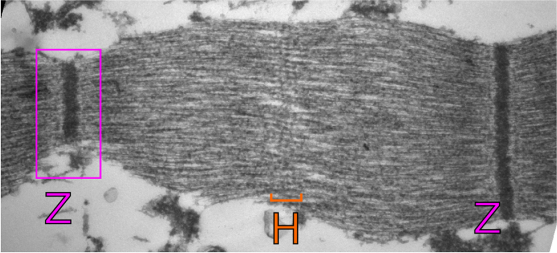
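Longitudinal section through one sarcomere of a myofibril. Fine filaments run lengthwise between two dark, dense transverse bands at either end; the left band, inside a purple box, is narrow and short relative to the myofibril's width. Filaments are wavy and less regularly spaced than normal, and the myofibril bulges in its middle. The central zone, under an orange bracket, is not a clean pale band but filled with dense filament material. Pale surrounding cytoplasm holds membrane fragments and small round vesicles along the myofibril edges.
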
